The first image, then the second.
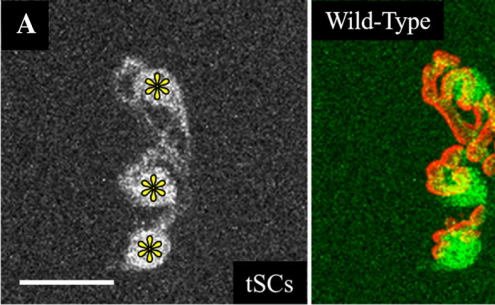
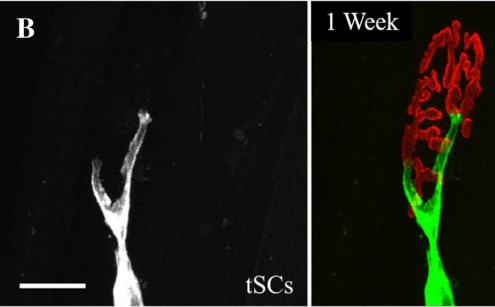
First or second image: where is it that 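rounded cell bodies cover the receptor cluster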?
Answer: The first image.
